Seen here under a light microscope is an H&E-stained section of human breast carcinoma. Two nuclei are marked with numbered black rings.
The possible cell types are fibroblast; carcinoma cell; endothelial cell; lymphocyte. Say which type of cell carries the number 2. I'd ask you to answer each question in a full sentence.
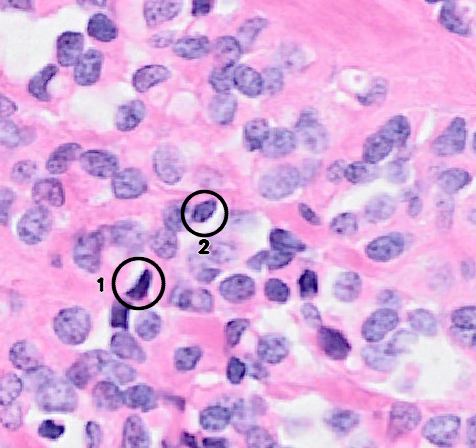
The cell that is numbered 2 is a lymphocyte.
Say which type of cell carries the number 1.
Cell 1 is classified as a carcinoma cell.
